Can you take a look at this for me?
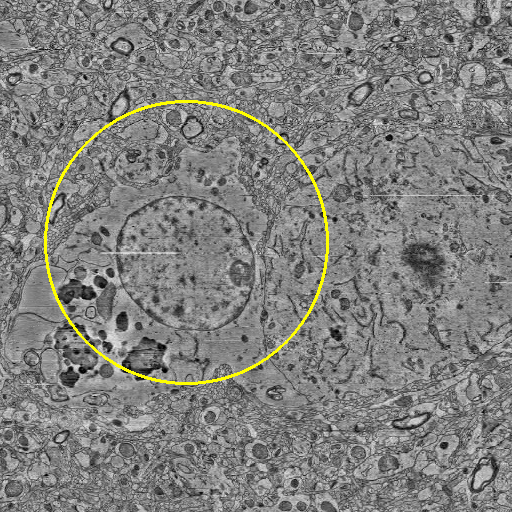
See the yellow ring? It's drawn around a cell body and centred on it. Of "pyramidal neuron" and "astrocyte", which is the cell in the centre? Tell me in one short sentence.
The one in the centre is an astrocyte.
